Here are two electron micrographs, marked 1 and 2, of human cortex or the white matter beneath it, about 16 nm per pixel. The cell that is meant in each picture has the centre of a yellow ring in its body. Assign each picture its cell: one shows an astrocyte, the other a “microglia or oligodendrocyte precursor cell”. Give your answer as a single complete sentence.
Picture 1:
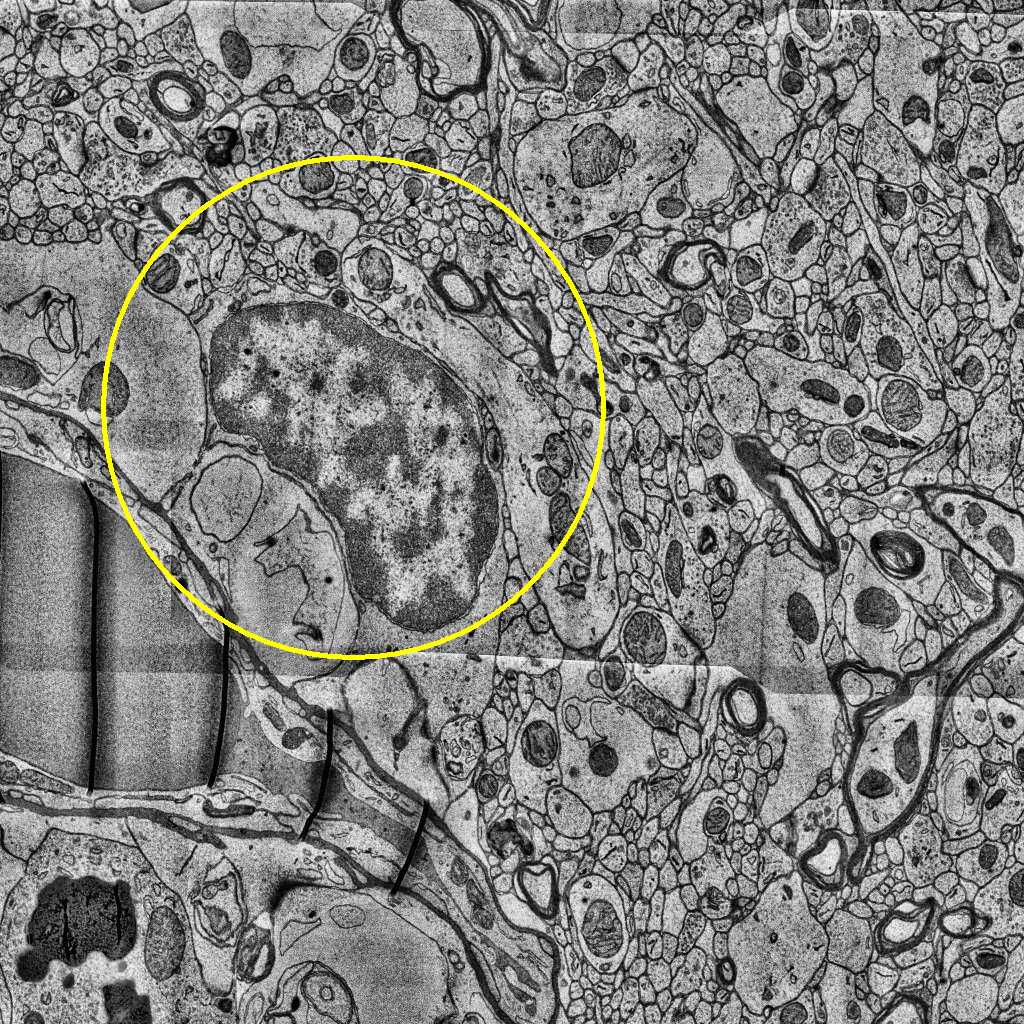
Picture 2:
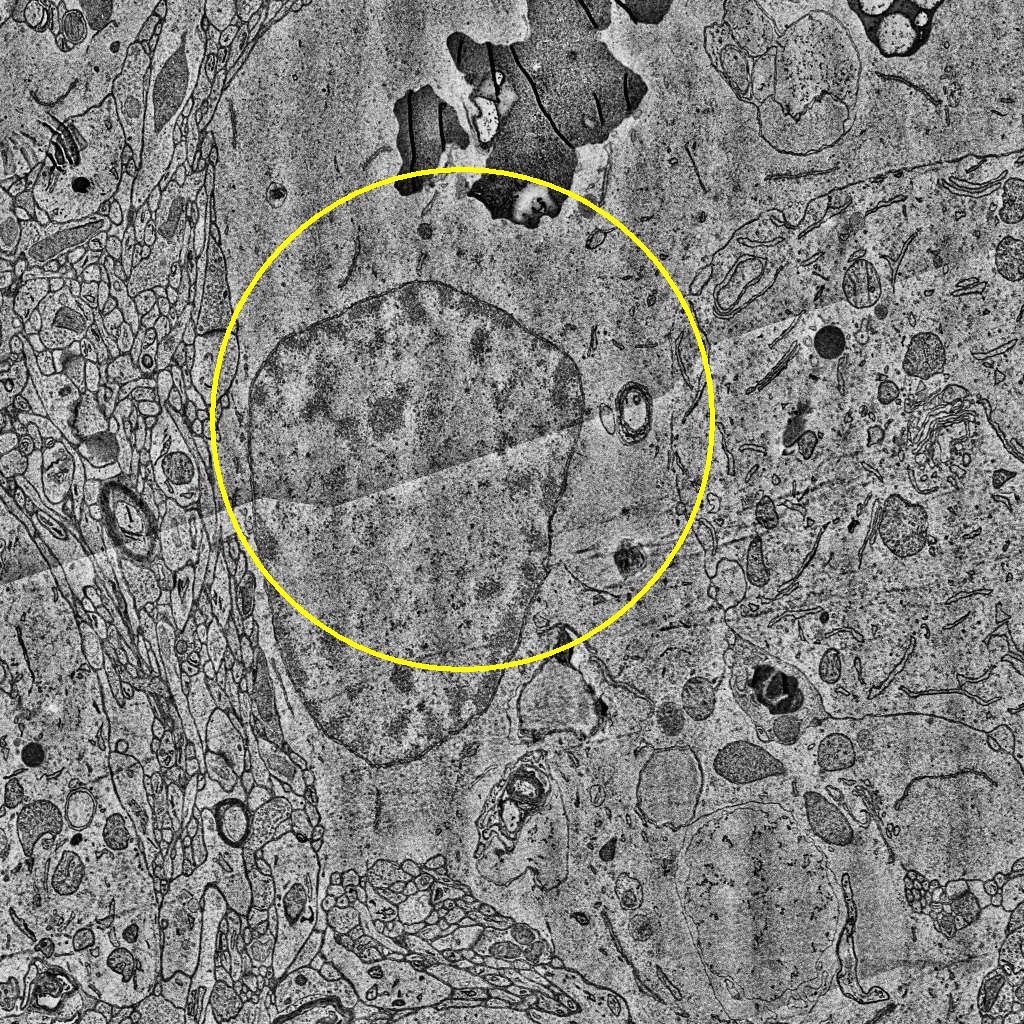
Picture 1 is of a “microglia or oligodendrocyte precursor cell”, and picture 2 is of an astrocyte.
